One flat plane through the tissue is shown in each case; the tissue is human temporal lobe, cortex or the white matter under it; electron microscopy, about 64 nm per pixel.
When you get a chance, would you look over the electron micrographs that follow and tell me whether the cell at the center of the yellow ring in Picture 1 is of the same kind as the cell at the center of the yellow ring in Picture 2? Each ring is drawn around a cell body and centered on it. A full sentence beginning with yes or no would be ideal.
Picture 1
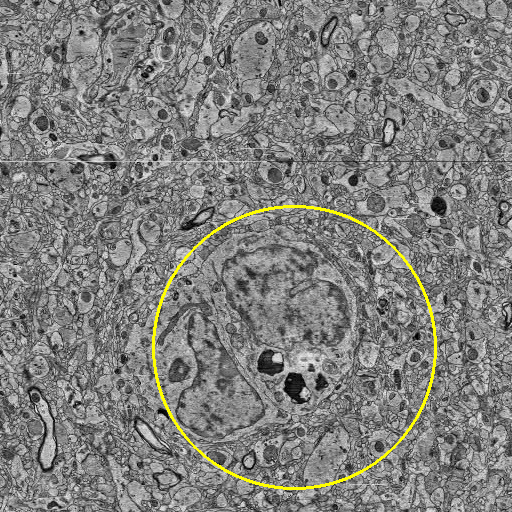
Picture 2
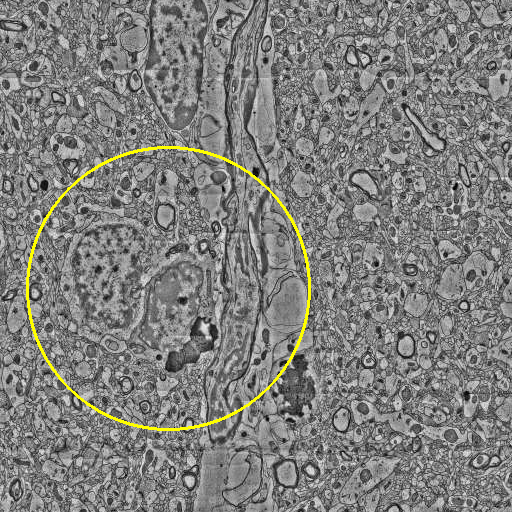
No, they are two kinds of cell.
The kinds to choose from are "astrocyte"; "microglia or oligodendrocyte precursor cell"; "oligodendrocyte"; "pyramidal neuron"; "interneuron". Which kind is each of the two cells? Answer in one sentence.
Of the two, the first cell is an interneuron and the second cell is an oligodendrocyte.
